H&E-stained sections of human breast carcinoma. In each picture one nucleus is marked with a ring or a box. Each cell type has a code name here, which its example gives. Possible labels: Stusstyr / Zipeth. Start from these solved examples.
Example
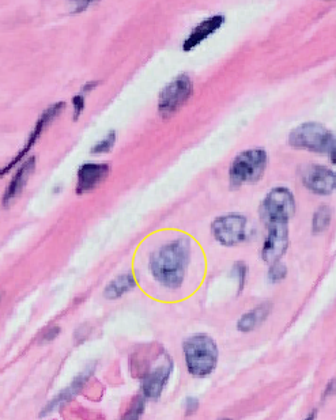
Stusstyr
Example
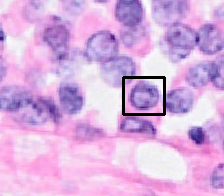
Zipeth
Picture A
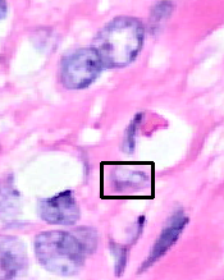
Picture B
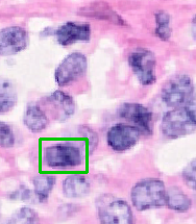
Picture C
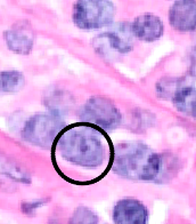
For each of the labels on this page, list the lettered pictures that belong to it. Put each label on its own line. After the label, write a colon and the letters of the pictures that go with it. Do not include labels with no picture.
Stusstyr: A
Zipeth: B, C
